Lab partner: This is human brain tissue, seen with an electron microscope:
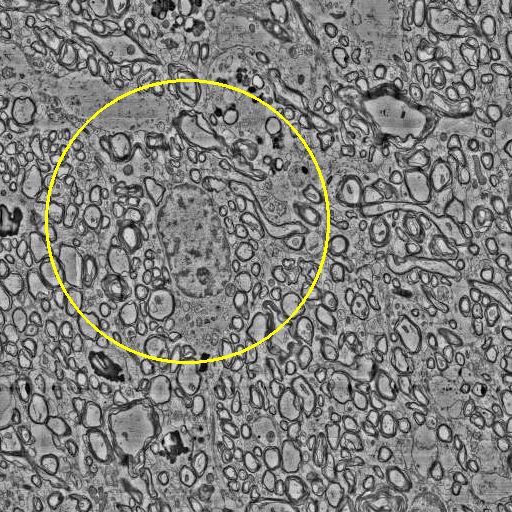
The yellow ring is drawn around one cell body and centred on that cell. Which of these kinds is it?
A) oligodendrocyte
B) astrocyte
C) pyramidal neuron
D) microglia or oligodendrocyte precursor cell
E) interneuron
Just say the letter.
A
